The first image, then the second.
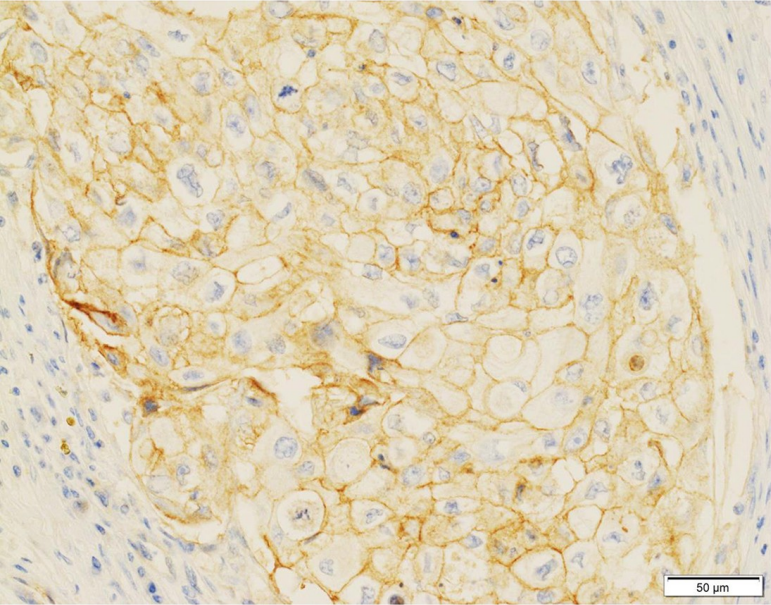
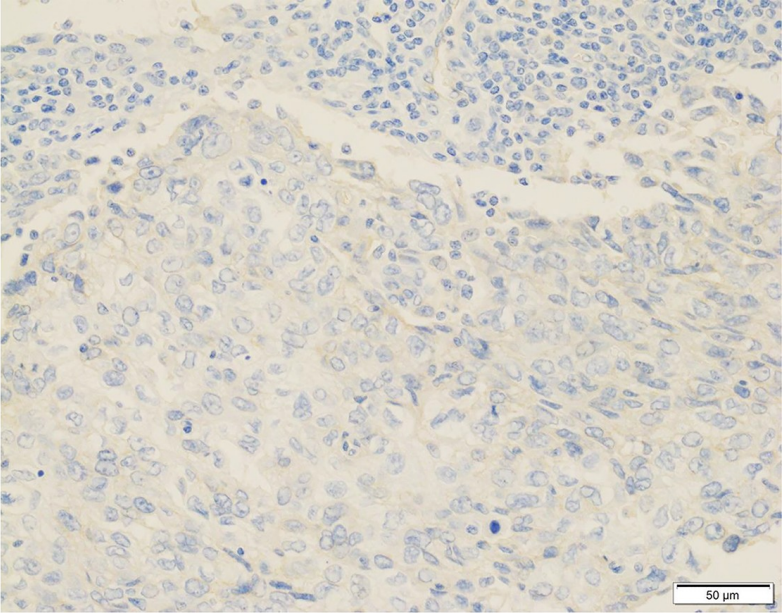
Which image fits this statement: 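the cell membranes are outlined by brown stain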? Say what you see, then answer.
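Second image: the tumor cells show only blue nuclei and a pale background, with no brown rims.
Conclusion: the first image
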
